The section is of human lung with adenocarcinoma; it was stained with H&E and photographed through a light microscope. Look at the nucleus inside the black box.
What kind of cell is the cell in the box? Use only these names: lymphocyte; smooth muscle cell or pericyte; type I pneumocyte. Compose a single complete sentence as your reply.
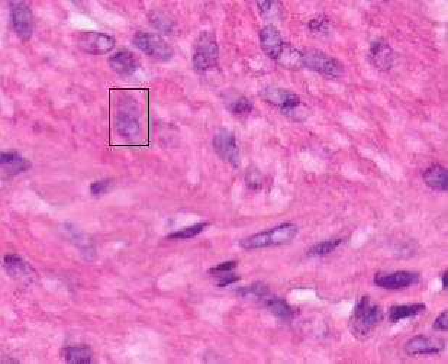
Labelled by cell type, the cell in the box is a smooth muscle cell or pericyte.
